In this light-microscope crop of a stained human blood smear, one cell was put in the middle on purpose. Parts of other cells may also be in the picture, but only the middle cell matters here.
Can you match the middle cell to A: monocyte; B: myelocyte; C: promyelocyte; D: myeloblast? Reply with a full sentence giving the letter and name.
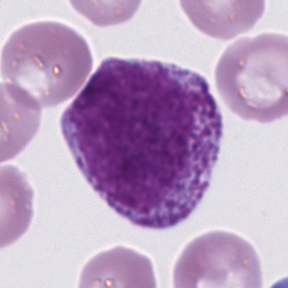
Option B is correct, naming the cell in the middle as a myelocyte.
